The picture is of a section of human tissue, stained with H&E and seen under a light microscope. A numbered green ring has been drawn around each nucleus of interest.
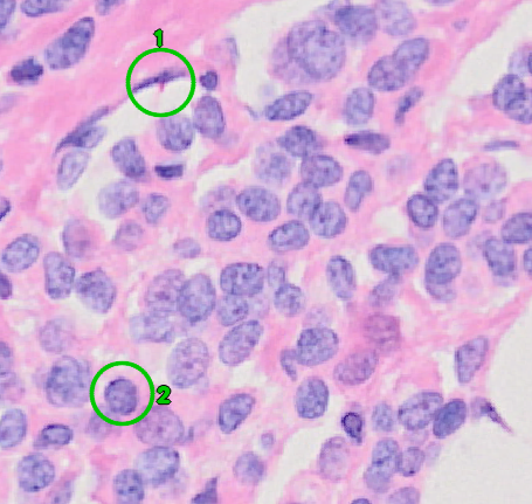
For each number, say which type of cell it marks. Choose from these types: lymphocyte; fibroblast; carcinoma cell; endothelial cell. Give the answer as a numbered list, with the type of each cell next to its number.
1. fibroblast
2. carcinoma cell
